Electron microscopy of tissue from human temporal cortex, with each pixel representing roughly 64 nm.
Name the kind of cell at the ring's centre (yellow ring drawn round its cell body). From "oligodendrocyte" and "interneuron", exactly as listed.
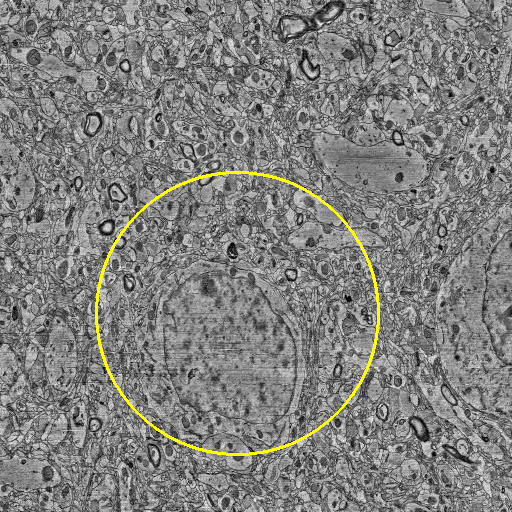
interneuron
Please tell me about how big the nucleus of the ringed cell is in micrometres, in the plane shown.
About 11 by 8 micrometres in this plane.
